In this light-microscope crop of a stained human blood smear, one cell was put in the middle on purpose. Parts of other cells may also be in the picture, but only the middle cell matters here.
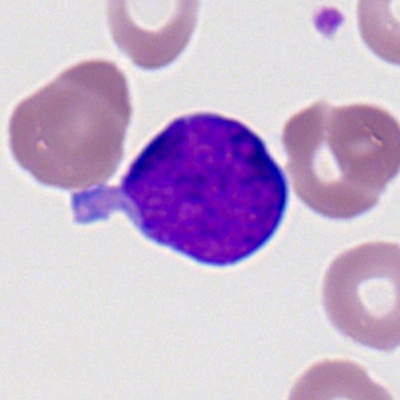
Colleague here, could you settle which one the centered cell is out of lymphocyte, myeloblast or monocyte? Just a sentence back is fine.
Looking at the middle of the crop, the cell there is a myeloblast.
